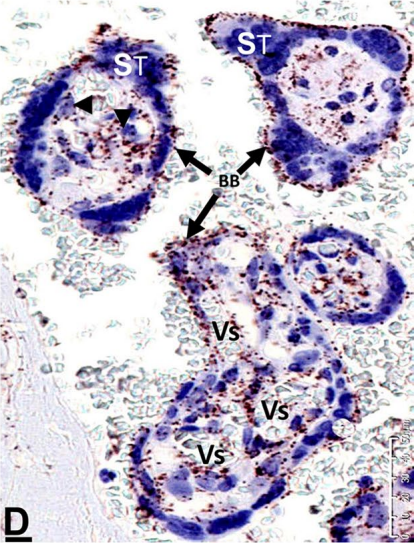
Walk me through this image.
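Several rounded cross-sections of chorionic villi lie among scattered red blood cells. Each villus is covered by a continuous dark blue outer layer packed with nuclei and lacking cell borders, the multinucleated syncytiotrophoblast, whose free surface is studded with fine brown-red dots along a brush border. Beneath it lie a few single nuclei, cytotrophoblasts. The cores are pale and loose, holding small vessel lumina, and fine brown-red granules are scattered through the core and along the outer surface. One villus is elongated and shows several vessel profiles in a row.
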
